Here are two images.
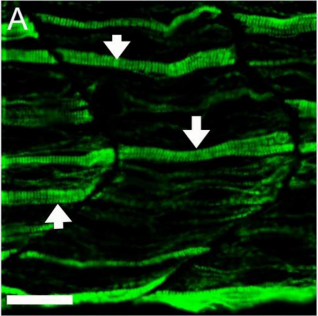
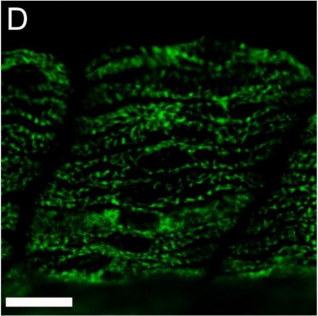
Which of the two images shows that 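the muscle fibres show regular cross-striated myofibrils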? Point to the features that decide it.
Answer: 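The first image. Second image: green label is punctate and disorganized, without continuous striated fibres. First image: several long fibres show regular green cross-striations.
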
